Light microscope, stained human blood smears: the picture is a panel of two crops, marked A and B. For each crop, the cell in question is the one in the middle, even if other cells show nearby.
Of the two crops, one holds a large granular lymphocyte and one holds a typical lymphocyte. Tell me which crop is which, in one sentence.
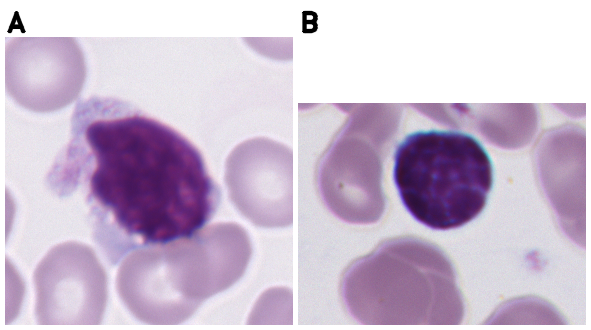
Here crop A is a large granular lymphocyte, and crop B is a typical lymphocyte.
